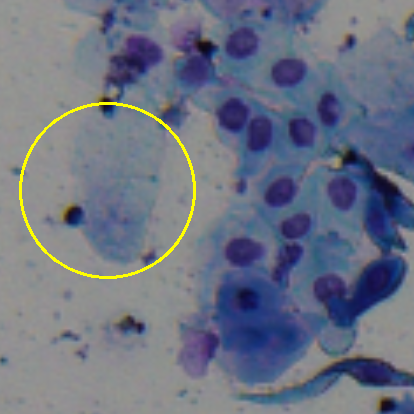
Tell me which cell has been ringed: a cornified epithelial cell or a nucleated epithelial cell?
It is a cornified epithelial cell.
